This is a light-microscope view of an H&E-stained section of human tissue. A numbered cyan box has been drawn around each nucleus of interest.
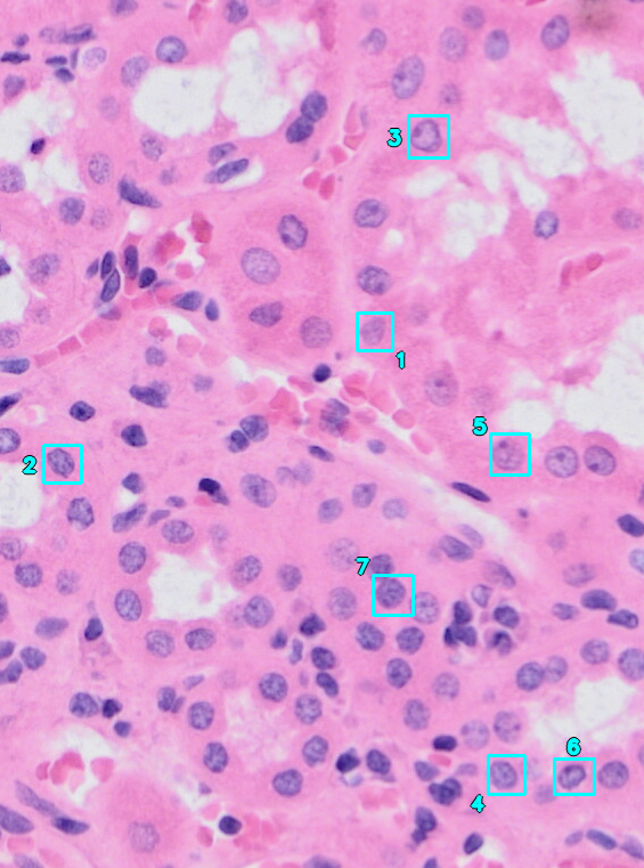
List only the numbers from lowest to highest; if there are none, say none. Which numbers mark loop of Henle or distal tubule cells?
2, 4, 6, 7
